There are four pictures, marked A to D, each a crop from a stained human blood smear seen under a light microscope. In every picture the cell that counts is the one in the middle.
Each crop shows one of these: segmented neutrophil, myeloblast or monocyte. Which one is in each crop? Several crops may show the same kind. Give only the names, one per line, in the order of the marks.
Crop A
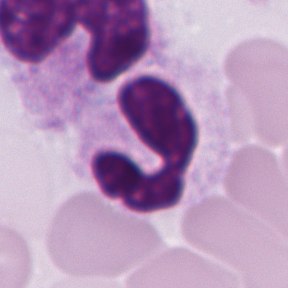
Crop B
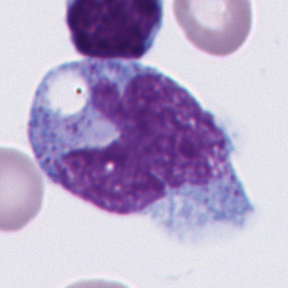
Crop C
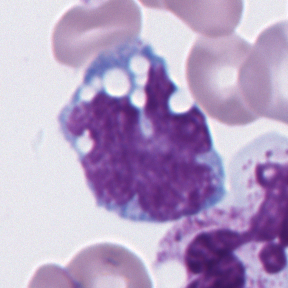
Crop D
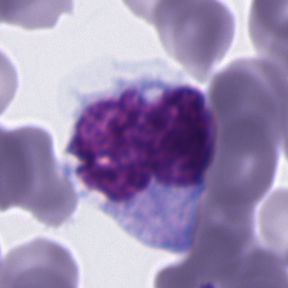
segmented neutrophil
monocyte
monocyte
monocyte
